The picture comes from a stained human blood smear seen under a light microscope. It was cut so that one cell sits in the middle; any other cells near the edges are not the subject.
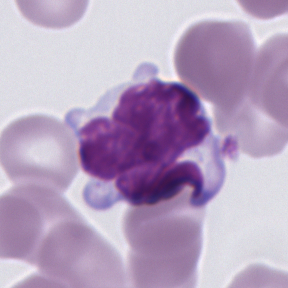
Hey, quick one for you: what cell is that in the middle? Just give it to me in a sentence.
For this crop, the central cell is a large granular lymphocyte.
